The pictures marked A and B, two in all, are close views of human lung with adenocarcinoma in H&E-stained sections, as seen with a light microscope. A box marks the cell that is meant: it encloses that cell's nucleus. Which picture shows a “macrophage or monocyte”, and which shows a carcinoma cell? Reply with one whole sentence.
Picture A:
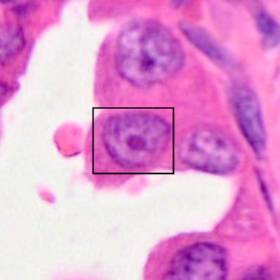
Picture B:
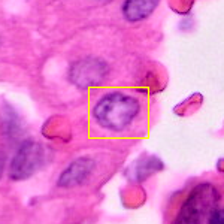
Picture B shows a “macrophage or monocyte”, while picture A shows a carcinoma cell.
